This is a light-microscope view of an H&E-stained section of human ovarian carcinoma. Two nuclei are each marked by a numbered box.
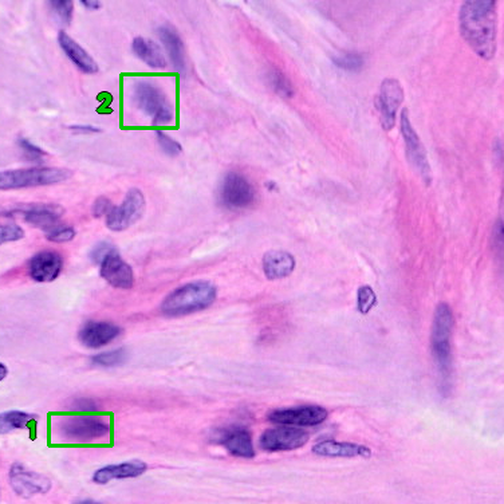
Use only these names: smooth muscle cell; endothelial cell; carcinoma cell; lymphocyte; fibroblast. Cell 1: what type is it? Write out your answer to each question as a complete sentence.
The marked cell bearing number 1 is an endothelial cell.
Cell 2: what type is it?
What the number 2 marks in this field is a fibroblast.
